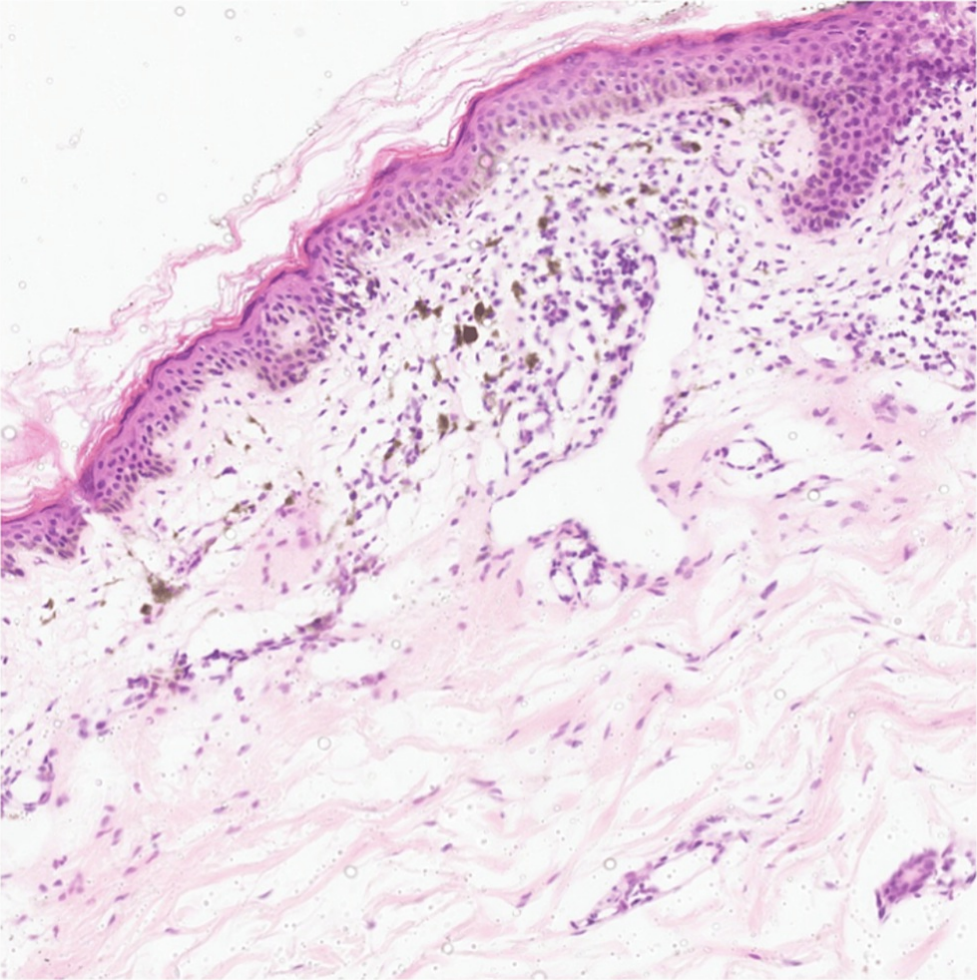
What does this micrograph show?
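Skin with a thin epidermis of few cell layers under basket-weave keratin, with largely flattened rete ridges. The upper dermis holds a band of small dark round lymphocytes, also gathered around a superficial vessel, among which lie plump cells laden with coarse brown pigment granules. The deeper dermis is loose, pale pink collagen with few cells and scattered small vessels.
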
